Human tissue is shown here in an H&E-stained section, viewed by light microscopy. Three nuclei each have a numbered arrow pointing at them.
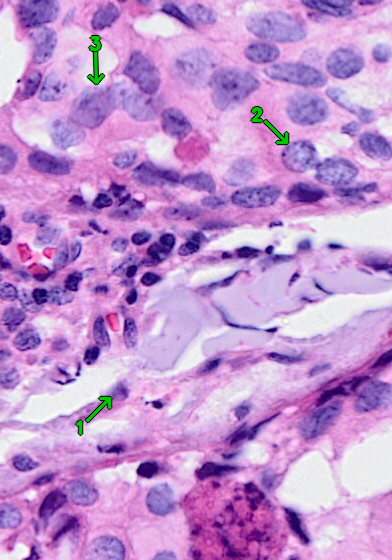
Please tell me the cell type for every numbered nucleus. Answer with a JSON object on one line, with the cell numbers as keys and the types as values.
{"1": "fibroblast", "2": "carcinoma cell", "3": "carcinoma cell"}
